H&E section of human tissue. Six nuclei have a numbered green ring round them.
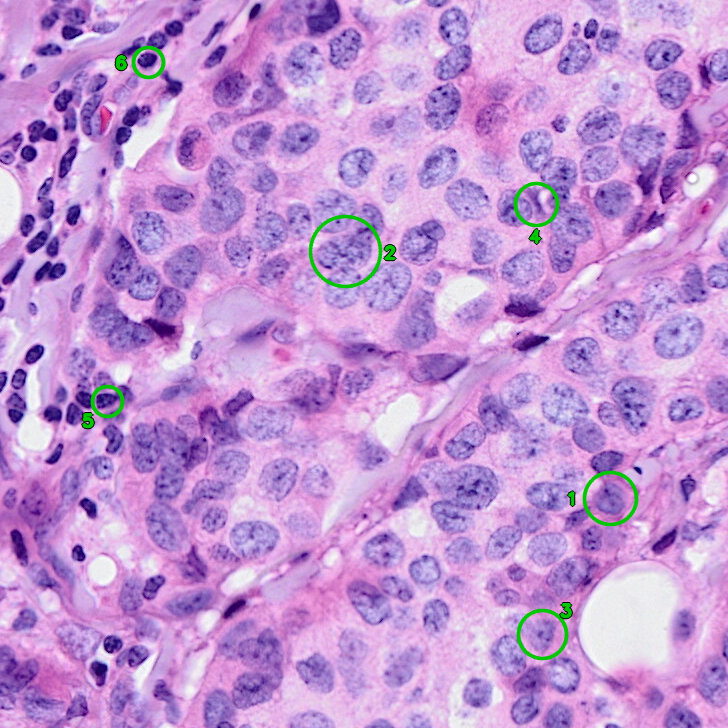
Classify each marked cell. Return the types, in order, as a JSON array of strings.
["carcinoma cell", "carcinoma cell", "carcinoma cell", "carcinoma cell", "lymphocyte", "lymphocyte"]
